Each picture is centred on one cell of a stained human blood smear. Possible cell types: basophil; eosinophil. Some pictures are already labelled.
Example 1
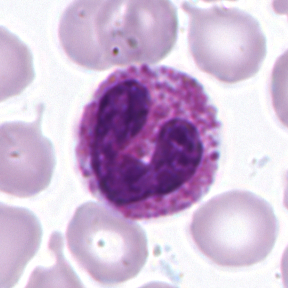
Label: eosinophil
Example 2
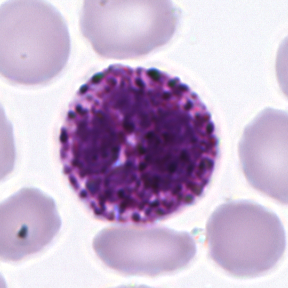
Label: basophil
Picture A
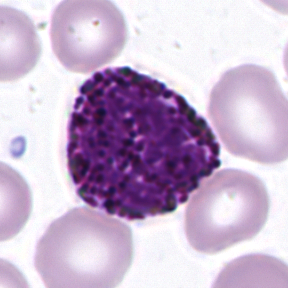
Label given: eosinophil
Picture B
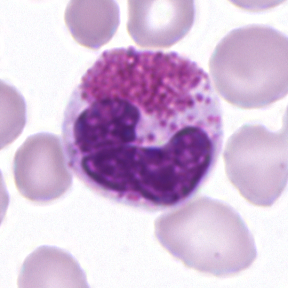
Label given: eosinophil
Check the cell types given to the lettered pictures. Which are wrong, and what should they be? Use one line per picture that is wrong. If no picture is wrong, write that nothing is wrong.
A is labelled eosinophil; correct label: basophil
